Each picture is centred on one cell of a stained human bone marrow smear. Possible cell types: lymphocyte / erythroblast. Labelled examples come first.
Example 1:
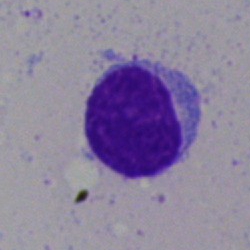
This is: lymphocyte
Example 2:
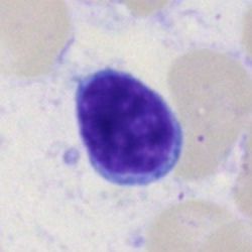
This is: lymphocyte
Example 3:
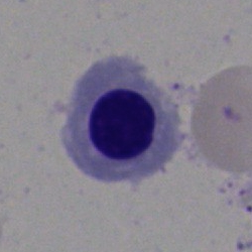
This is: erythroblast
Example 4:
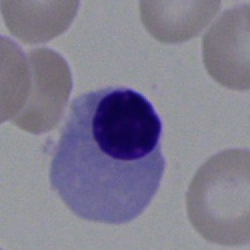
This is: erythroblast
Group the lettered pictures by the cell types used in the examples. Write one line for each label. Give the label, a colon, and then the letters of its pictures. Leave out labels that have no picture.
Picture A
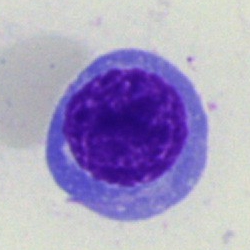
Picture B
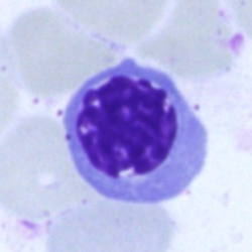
erythroblast: A, B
